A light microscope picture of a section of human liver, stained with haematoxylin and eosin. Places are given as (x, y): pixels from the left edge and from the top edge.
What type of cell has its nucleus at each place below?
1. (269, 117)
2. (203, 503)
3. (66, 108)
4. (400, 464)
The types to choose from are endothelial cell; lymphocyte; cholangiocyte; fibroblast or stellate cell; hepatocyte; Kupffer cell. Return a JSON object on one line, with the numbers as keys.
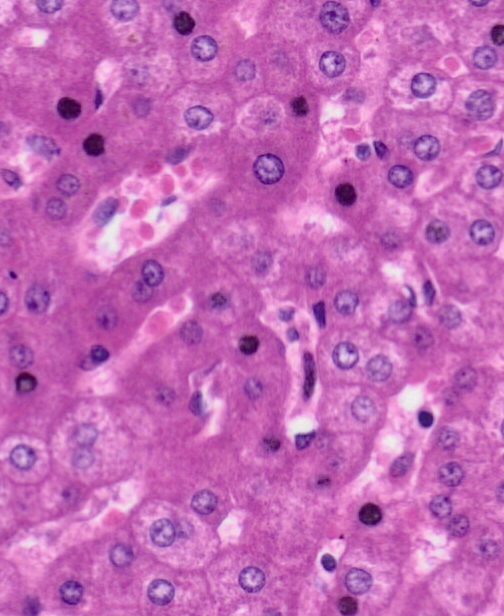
{"1": "hepatocyte", "2": "hepatocyte", "3": "hepatocyte", "4": "Kupffer cell"}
